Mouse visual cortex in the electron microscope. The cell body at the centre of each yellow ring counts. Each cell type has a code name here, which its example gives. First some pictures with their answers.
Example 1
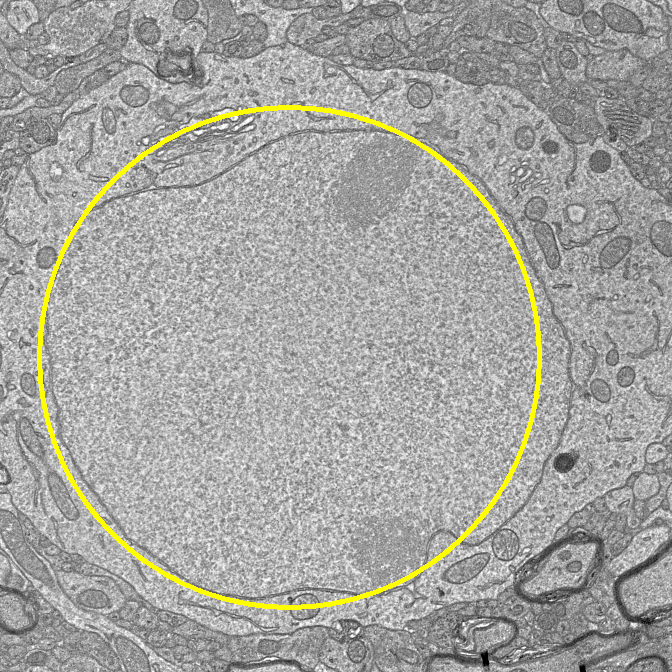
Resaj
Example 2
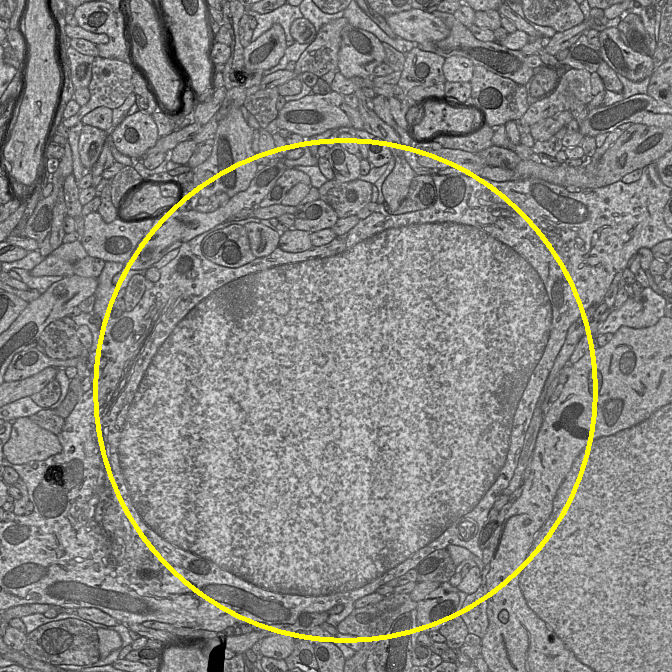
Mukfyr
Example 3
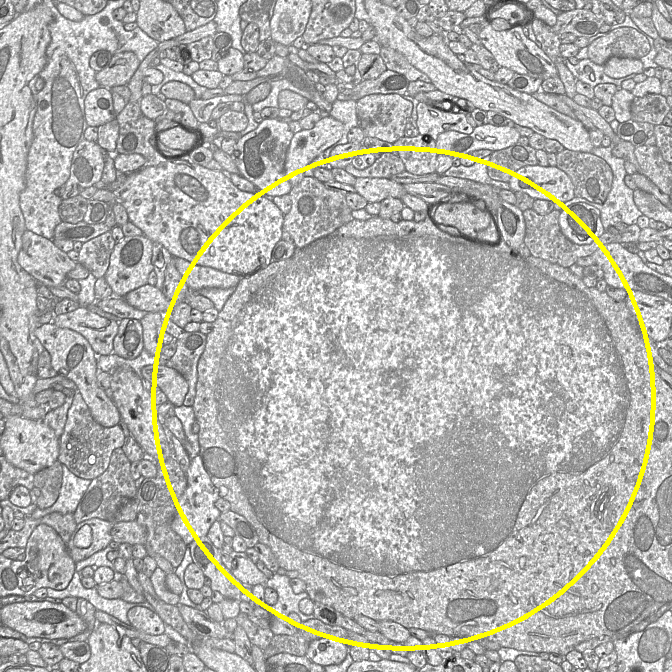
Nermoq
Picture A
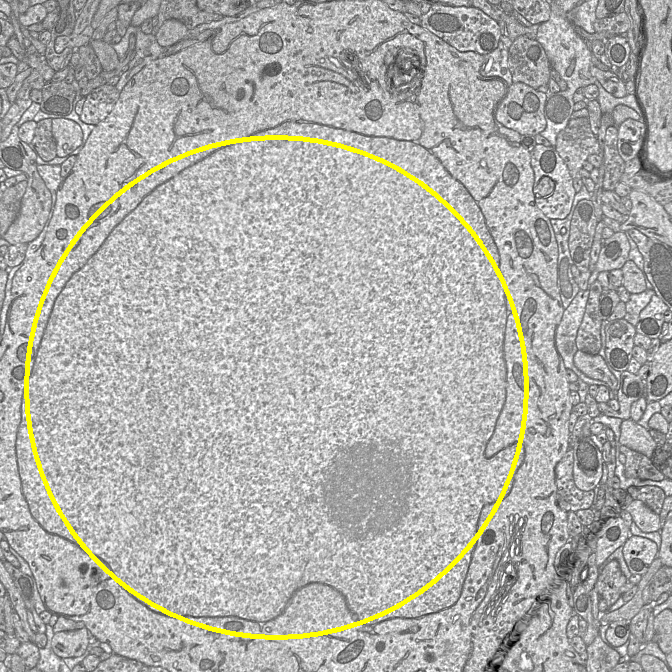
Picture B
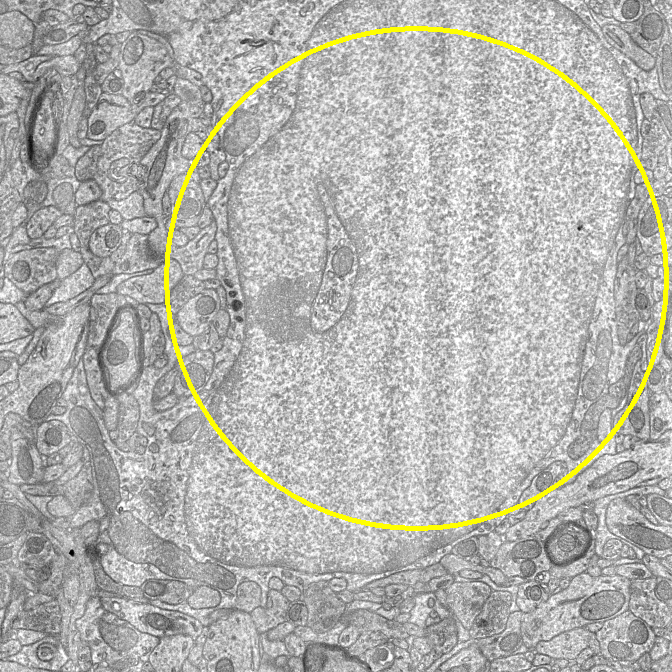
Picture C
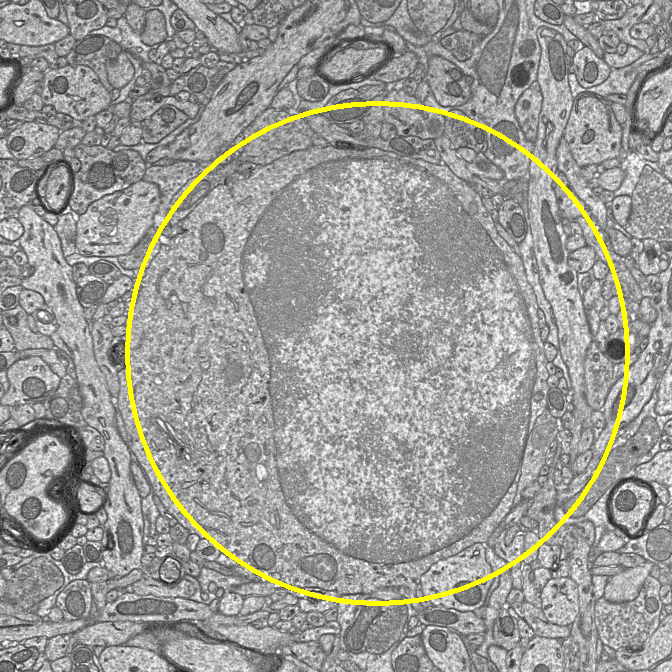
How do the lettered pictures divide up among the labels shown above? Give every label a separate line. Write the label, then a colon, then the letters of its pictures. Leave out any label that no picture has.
Resaj: A
Mukfyr: B
Nermoq: C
